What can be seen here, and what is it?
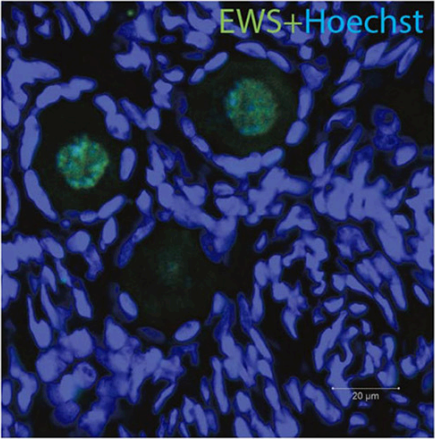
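Higher view of ovarian follicles, each an oocyte within a thin rim of granulosa cells set in cellular stroma. The oocytes are large round cells with pale cytoplasm; two show a round nucleus filled with speckled green and blue, while a third is cut without a bright nucleus. Around each oocyte runs a single layer of small flattened to low cuboidal cells with blue nuclei. The surrounding stroma is crowded with elongated, wavy blue nuclei packed between the follicles.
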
